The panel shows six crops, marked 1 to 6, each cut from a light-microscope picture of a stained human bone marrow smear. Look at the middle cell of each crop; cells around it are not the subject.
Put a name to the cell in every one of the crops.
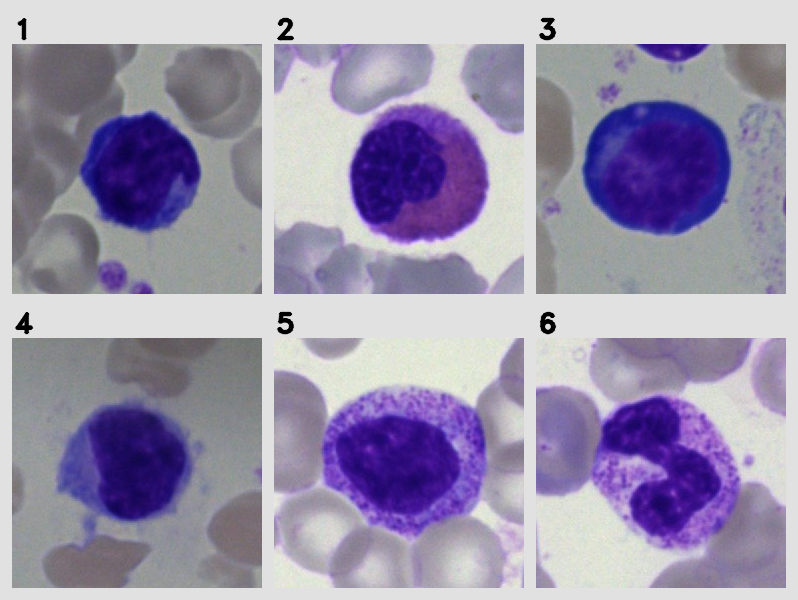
1: lymphocyte
2: eosinophil
3: proerythroblast
4: hairy cell
5: myelocyte
6: band neutrophil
